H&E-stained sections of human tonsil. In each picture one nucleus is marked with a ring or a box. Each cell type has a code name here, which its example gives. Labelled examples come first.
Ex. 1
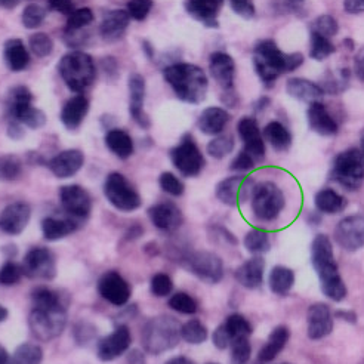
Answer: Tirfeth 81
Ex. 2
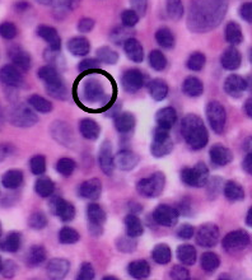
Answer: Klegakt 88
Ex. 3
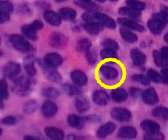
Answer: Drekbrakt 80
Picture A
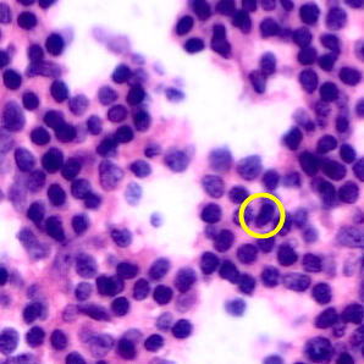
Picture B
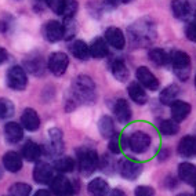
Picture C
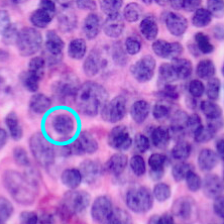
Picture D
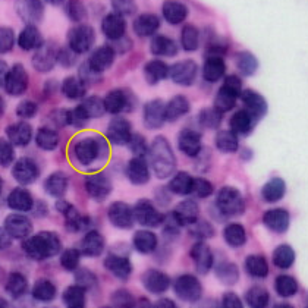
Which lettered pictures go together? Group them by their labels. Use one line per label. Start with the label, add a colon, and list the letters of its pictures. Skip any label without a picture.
Tirfeth 81: C
Klegakt 88: A, B, D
